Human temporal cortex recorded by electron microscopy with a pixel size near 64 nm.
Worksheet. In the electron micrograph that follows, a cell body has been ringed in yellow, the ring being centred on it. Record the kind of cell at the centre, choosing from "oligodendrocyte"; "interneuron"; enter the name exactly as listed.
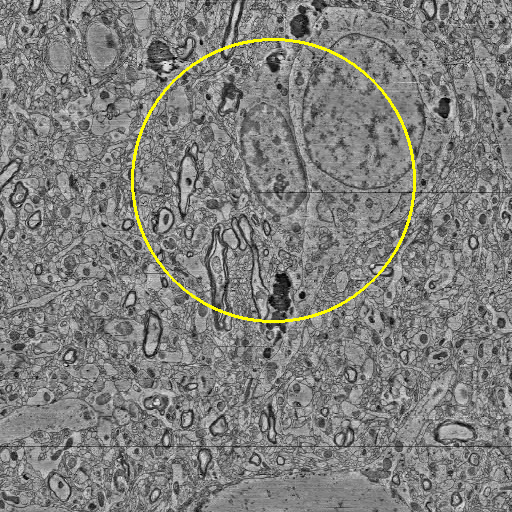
oligodendrocyte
